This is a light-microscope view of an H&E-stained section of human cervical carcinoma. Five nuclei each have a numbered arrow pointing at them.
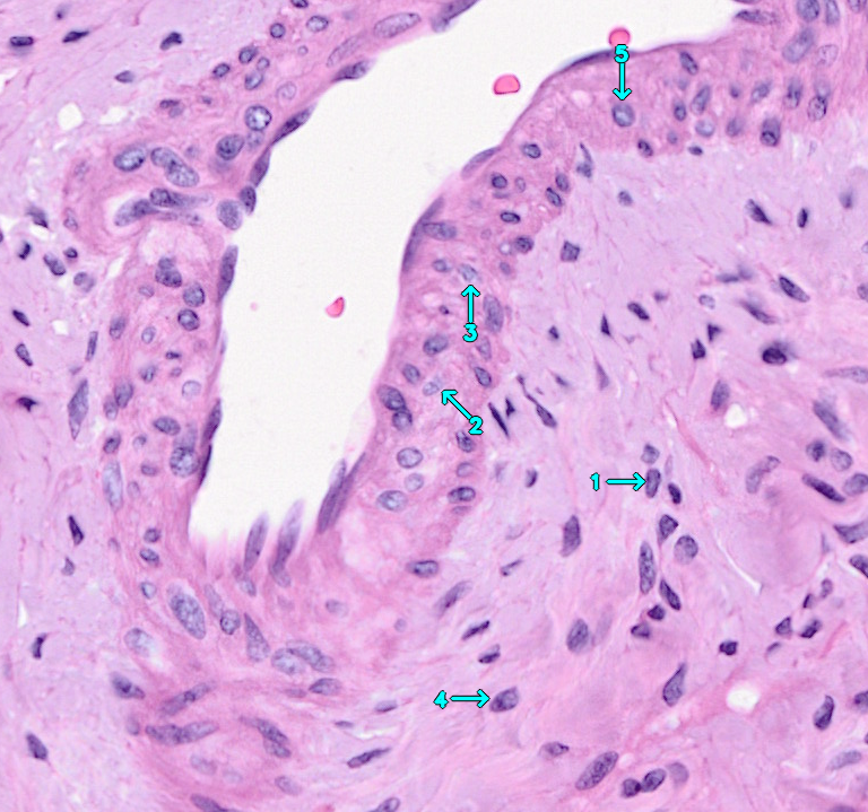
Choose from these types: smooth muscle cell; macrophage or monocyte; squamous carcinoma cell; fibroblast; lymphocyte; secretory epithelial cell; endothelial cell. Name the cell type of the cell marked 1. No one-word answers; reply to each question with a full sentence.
Cell 1 in the field is a fibroblast.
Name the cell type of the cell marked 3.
The numbered cell 3 is identified here as a smooth muscle cell.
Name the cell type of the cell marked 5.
The cell assigned the number 5 is a smooth muscle cell.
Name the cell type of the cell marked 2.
Identified as a smooth muscle cell is the cell bearing the number 2.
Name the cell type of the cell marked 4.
Cell number 4 in this section is a fibroblast.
